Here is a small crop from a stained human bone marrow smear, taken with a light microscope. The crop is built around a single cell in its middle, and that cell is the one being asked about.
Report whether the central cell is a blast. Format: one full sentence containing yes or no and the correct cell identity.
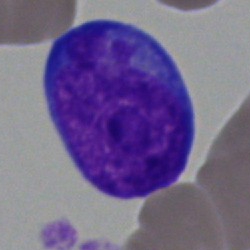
Yes, the cell of interest in the middle is a blast.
